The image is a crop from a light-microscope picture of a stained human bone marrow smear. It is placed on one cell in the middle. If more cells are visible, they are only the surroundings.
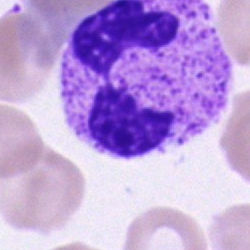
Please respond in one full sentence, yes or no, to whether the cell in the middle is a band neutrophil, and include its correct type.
No, the cell in the centre of the crop is a segmented neutrophil as opposed to a band neutrophil.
